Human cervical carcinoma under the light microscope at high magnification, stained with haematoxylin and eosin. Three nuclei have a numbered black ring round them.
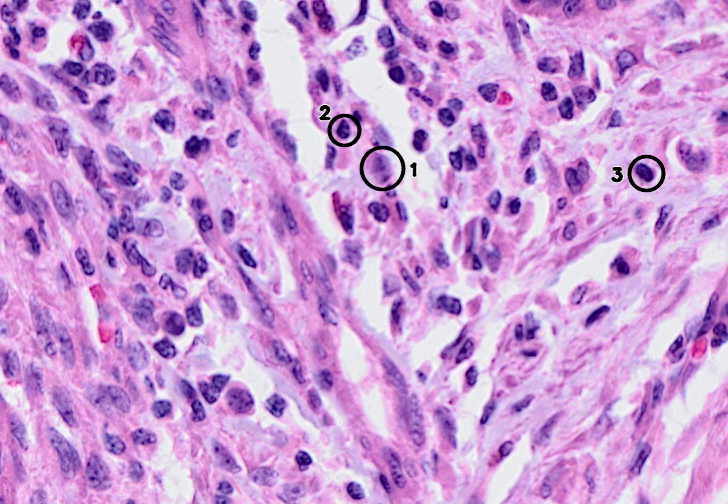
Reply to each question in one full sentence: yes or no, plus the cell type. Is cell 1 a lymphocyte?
No, cell 1 is a macrophage or monocyte, not a lymphocyte.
